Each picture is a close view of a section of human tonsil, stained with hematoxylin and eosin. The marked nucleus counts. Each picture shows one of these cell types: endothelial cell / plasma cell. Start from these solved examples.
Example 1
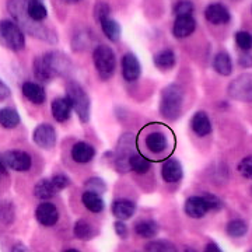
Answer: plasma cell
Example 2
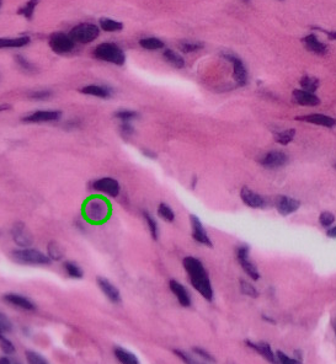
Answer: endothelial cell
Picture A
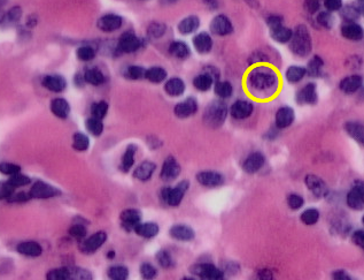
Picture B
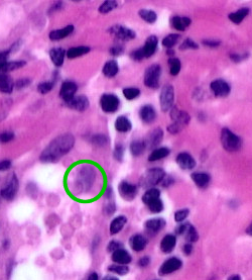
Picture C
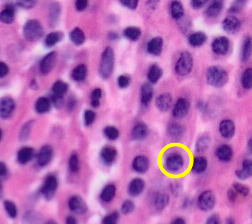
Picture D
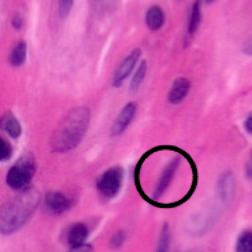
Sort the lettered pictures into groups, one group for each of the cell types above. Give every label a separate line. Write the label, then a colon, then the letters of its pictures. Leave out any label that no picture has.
endothelial cell: B, D
plasma cell: A, C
